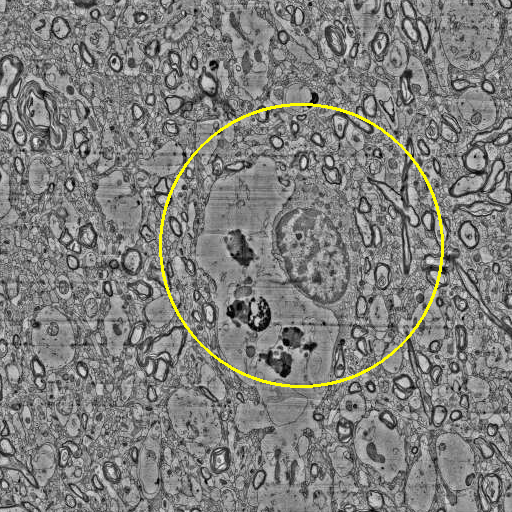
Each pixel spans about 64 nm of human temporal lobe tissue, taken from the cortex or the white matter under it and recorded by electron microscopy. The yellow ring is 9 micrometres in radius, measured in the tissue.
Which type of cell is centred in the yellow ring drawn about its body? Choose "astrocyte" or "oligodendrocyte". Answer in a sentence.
The yellow ring surrounds the cell body of an oligodendrocyte.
